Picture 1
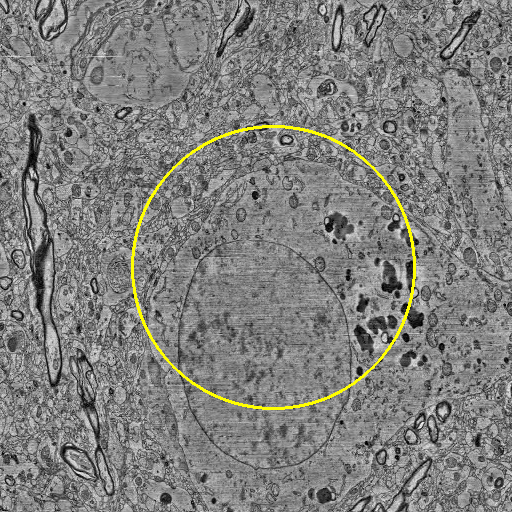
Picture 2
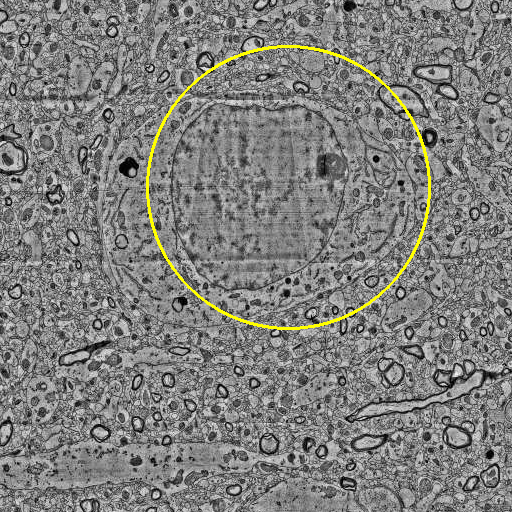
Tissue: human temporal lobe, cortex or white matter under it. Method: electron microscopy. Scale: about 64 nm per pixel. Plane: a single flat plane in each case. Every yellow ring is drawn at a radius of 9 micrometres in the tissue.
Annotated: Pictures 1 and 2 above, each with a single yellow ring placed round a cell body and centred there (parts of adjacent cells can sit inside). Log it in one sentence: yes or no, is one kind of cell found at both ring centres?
Yes, the ring centres of the two pictures hold cells of one kind.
